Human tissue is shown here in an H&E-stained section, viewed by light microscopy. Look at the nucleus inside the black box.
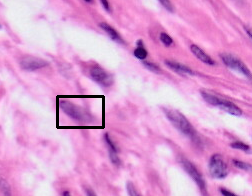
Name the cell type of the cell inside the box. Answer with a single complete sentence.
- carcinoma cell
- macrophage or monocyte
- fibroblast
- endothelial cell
In short, the cell inside the box on this section is a fibroblast.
